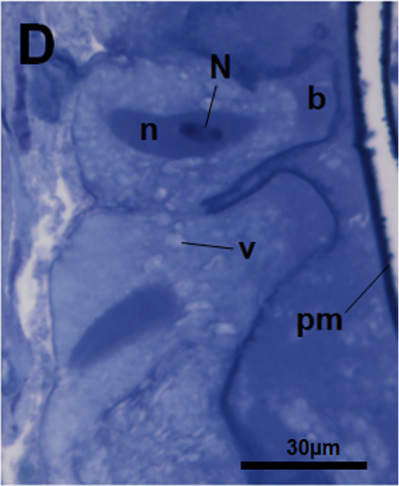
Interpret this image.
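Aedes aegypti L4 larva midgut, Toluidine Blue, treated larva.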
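The cells have rounded, irregular, bulging outlines rather than straight sides. One cell shows an oval, darker nucleus with a small deep-blue nucleolus. The cytoplasm contains small pale clear spots that look like vacuoles.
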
